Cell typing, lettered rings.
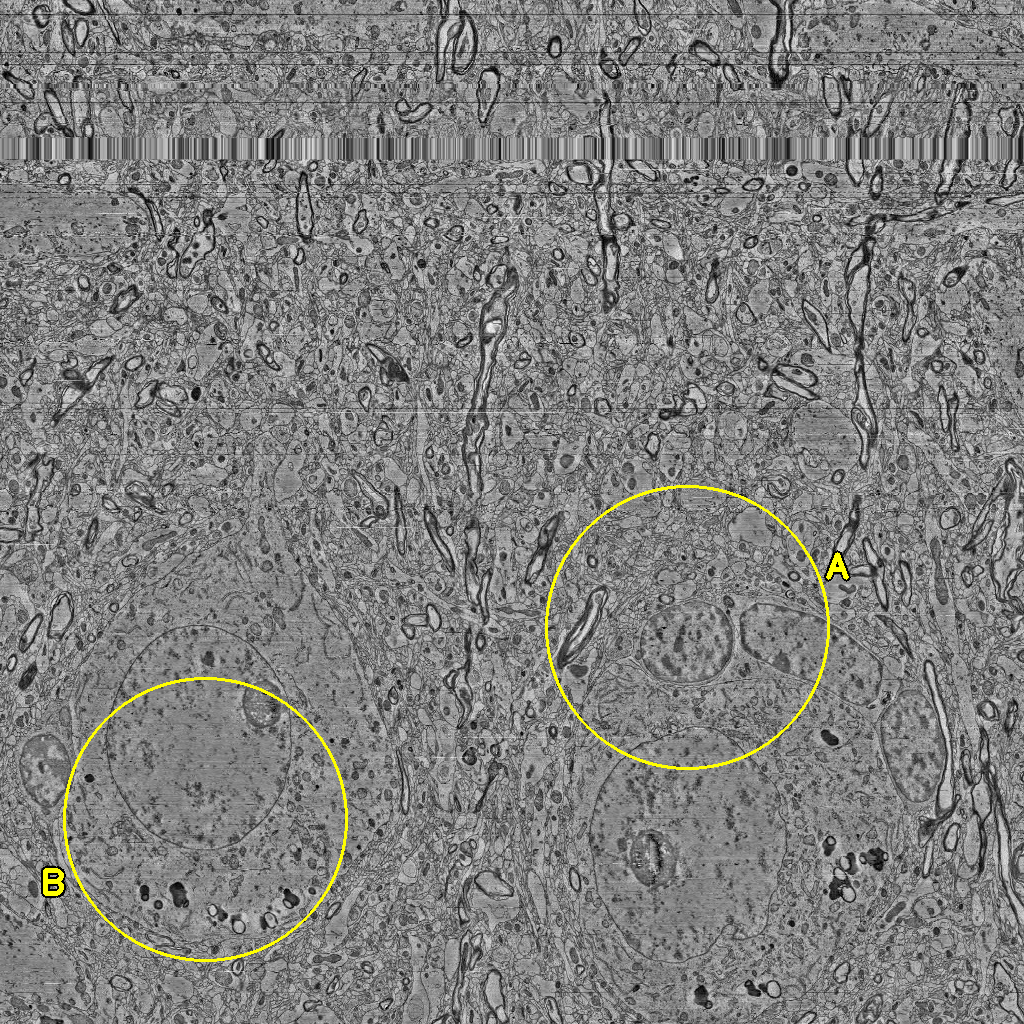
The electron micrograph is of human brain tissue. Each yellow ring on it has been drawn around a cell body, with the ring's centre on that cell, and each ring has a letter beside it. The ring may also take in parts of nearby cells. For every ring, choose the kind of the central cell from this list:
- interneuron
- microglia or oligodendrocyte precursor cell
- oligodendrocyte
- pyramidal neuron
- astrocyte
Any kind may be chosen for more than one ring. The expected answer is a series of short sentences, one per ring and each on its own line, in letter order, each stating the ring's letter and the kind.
For ring A, the centred cell is an oligodendrocyte.
For ring B, the centred cell is a pyramidal neuron.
